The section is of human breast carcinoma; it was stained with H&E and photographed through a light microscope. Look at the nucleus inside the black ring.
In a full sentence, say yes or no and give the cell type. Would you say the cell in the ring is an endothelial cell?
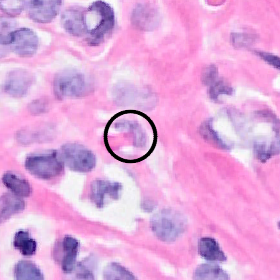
Yes, identifying the cell in the ring as an endothelial cell is right.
